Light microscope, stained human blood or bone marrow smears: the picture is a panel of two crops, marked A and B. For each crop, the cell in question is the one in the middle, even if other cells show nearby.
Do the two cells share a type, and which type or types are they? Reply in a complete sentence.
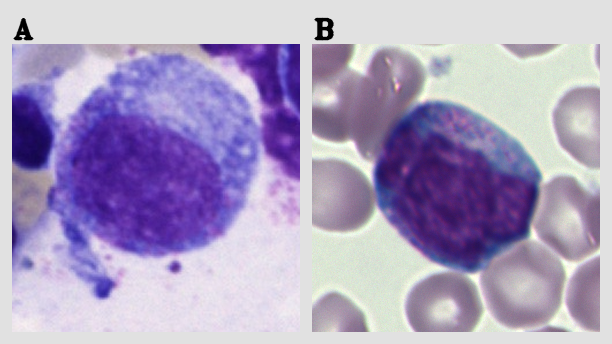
Yes, the central cells in both of the crops are promyelocytes.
